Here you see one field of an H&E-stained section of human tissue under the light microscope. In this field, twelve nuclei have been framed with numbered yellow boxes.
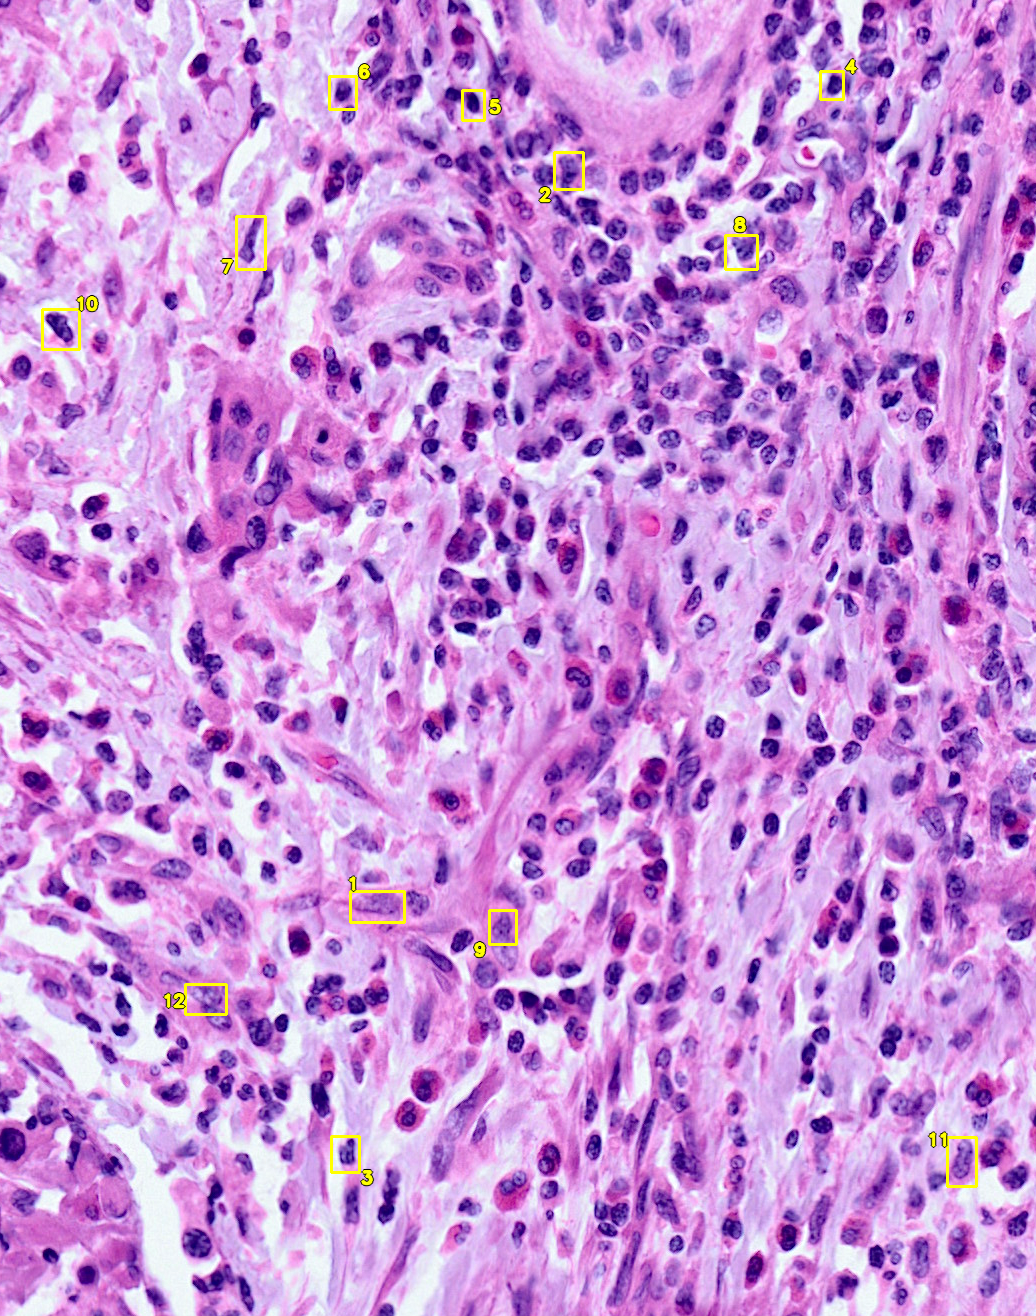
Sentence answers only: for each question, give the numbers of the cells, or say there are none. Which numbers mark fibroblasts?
The cell labelled 7 is a fibroblast, while the remaining numbered cells are not.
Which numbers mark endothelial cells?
The cells whose numbers are 1, 9 and 12 are endothelial cells.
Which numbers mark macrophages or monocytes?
Only the cell numbered 11 qualifies as a macrophage or monocyte among the marked cells.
